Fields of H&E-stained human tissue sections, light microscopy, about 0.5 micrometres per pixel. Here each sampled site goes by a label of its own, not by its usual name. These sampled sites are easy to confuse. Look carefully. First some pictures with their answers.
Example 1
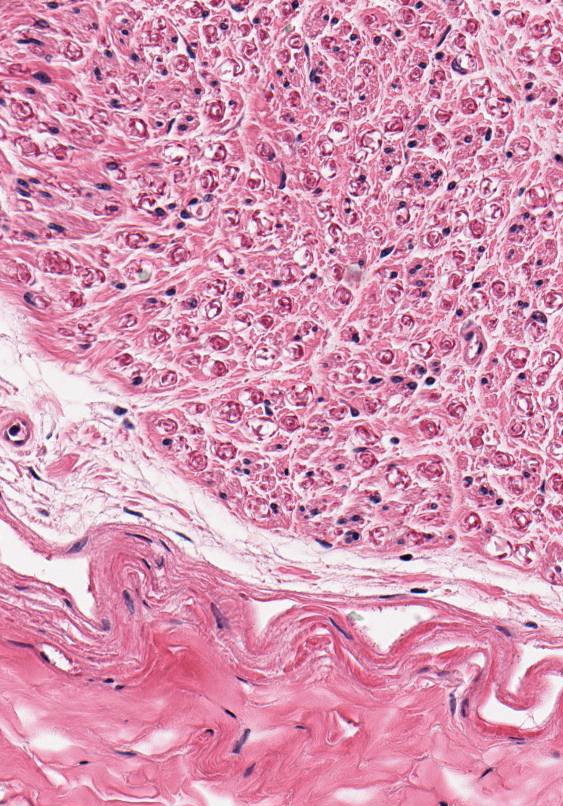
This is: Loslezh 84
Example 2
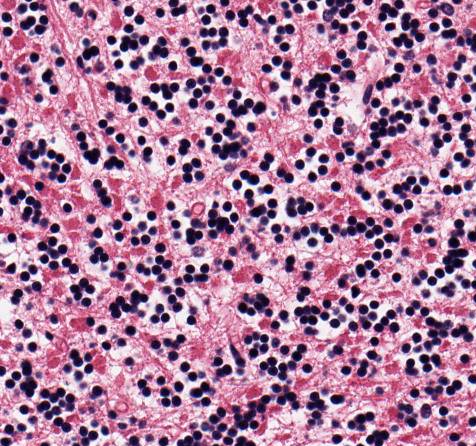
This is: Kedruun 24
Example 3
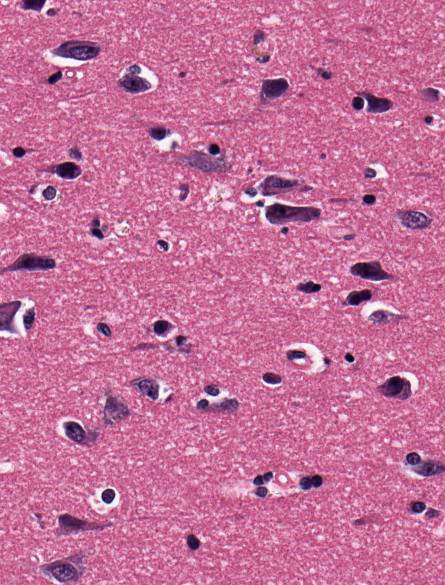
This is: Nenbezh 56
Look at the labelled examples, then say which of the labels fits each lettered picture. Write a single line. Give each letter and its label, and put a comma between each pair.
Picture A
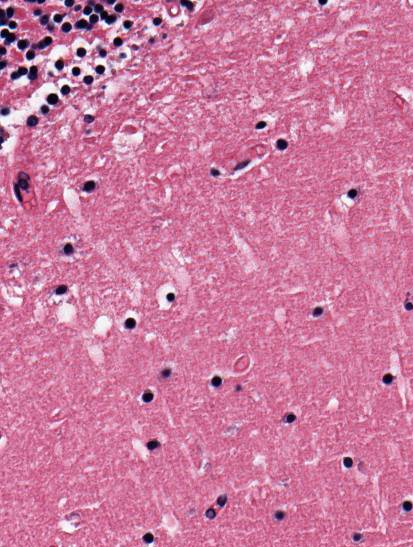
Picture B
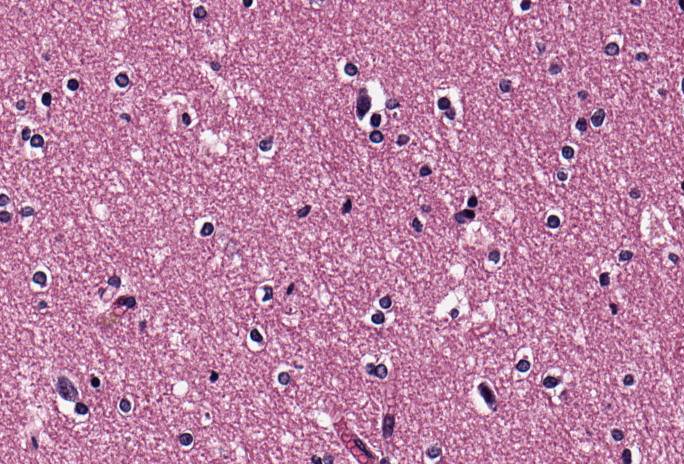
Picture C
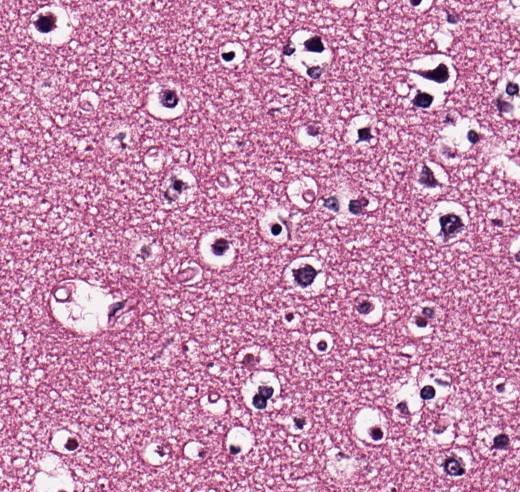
A Kedruun 24, B Nenbezh 56, C Nenbezh 56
